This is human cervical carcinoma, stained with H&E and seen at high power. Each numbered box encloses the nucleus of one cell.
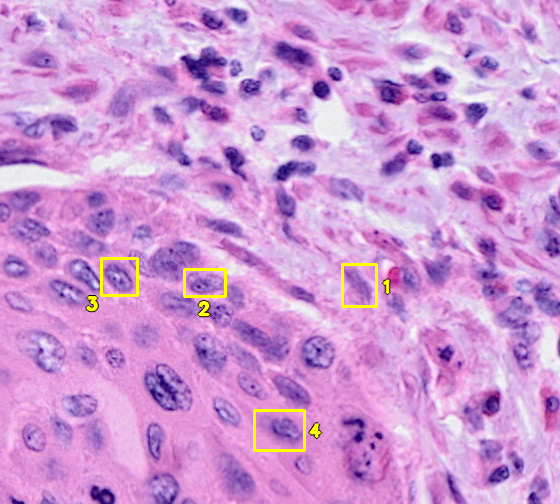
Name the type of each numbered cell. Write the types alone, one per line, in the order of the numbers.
fibroblast
squamous carcinoma cell
squamous carcinoma cell
squamous carcinoma cell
